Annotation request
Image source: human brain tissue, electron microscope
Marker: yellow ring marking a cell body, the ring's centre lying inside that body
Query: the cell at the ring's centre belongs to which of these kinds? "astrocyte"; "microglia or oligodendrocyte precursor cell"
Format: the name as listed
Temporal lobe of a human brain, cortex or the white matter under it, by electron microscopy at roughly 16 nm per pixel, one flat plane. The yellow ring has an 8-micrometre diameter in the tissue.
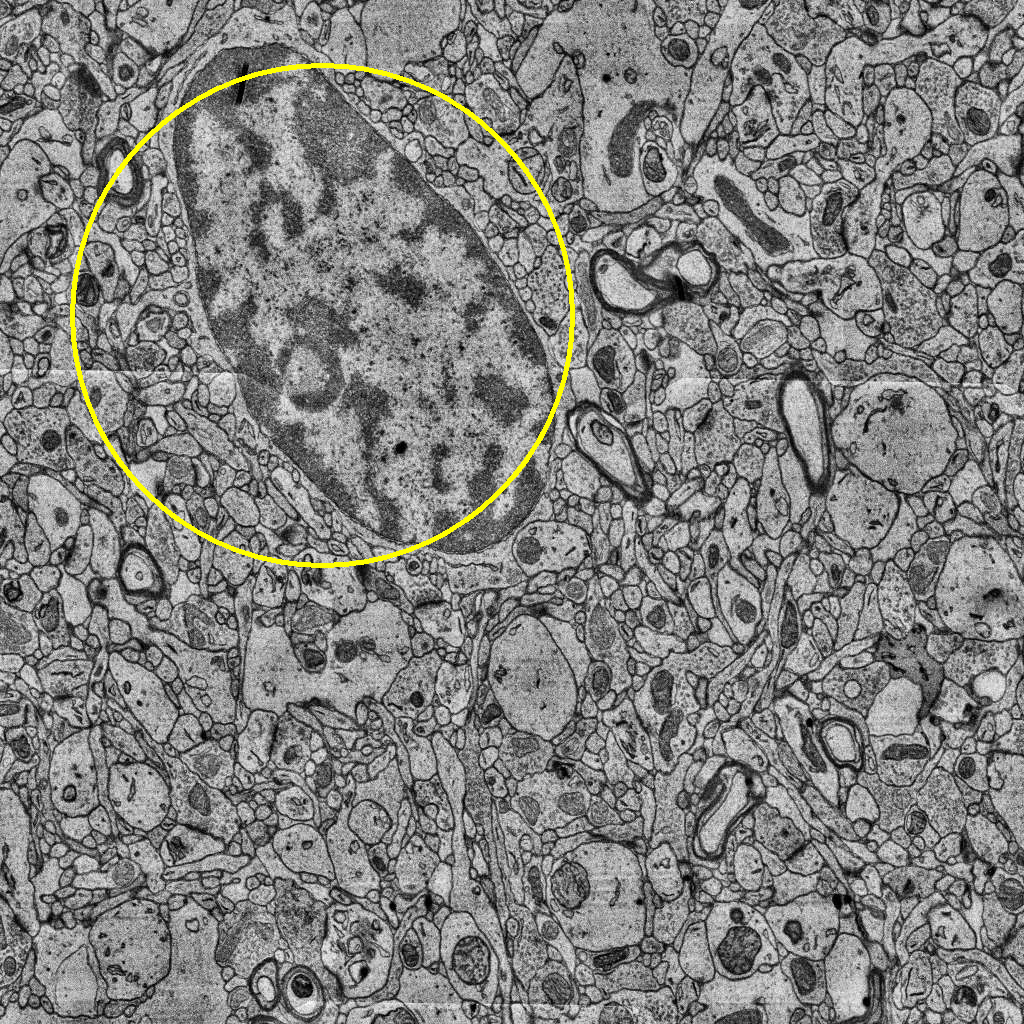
microglia or oligodendrocyte precursor cell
